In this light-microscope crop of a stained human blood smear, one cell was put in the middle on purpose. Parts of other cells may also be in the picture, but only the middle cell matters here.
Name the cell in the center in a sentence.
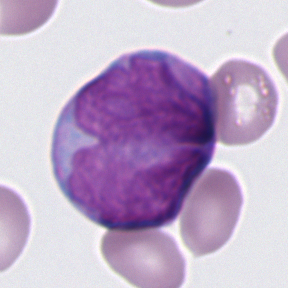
The cell centred in this crop is categorized as an atypical promyelocyte.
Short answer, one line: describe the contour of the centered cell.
No projections interrupt the outline; it is smooth all the way round.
